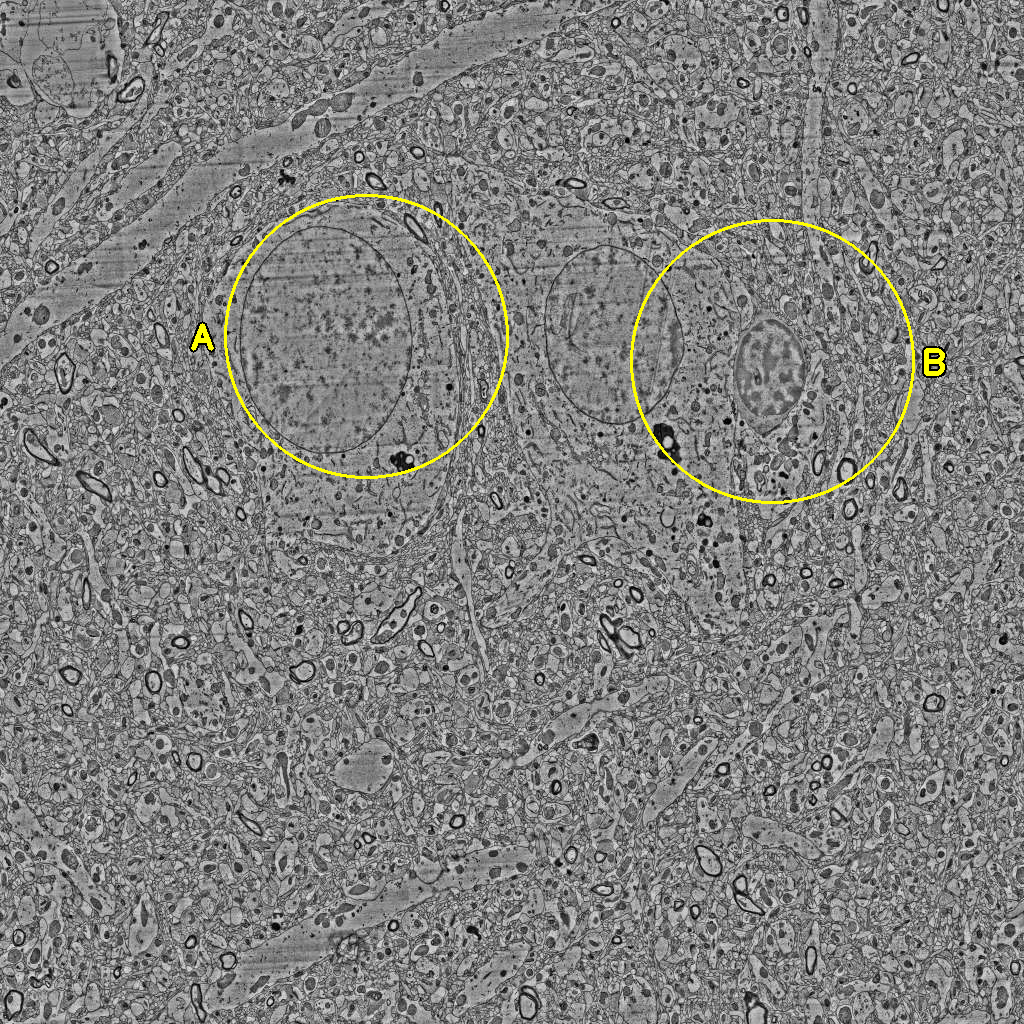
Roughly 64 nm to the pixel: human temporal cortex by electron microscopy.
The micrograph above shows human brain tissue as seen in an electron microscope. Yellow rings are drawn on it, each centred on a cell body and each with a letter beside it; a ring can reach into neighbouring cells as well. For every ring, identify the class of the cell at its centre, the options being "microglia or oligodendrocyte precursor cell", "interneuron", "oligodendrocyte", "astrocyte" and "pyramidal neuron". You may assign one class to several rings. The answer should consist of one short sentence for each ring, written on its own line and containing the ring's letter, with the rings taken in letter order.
The ring lettered A is centred on a pyramidal neuron.
The ring lettered B is centred on an oligodendrocyte.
